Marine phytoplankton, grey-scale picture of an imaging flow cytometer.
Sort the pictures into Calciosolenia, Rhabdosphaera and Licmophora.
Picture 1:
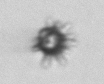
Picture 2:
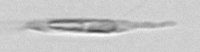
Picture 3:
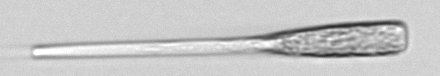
Rhabdosphaera: 1
Calciosolenia: 2
Licmophora: 3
